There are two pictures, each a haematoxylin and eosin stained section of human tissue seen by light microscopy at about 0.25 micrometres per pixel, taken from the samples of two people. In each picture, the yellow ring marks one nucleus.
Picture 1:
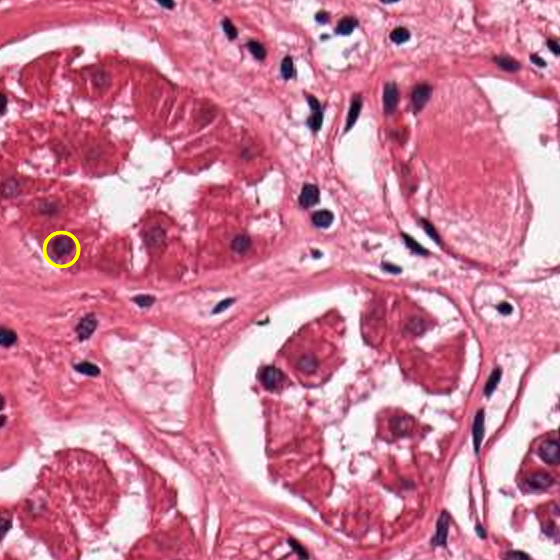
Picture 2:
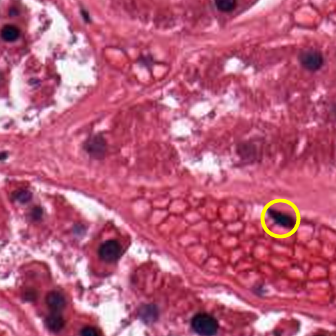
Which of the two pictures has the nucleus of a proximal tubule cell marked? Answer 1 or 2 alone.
1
